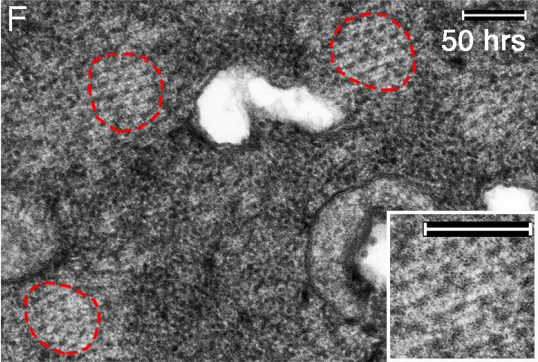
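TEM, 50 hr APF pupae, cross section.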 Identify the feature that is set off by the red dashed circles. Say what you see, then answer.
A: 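Each circle encloses a small round patch of finely dotted filament profiles in cross section. The patches are small and separated by cytoplasm and pale spaces.
Hence: nascent sarcomeric units.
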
